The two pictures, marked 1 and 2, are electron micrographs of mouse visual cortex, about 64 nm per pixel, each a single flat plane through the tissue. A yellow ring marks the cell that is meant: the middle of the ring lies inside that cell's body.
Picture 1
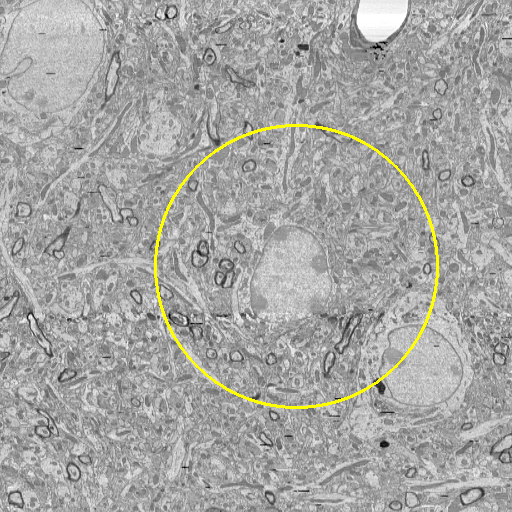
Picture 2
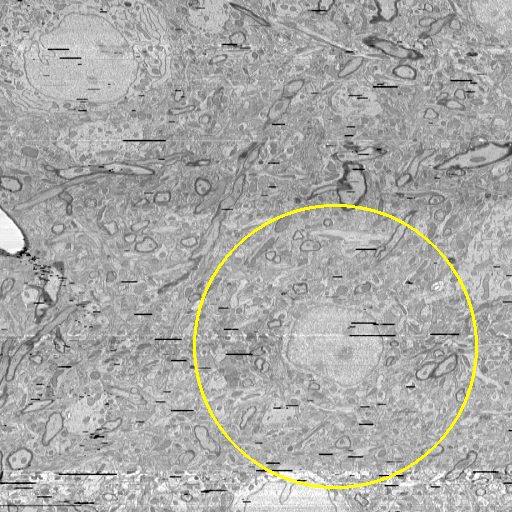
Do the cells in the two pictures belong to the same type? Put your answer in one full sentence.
Yes; the cells in both pictures are astrocytes.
